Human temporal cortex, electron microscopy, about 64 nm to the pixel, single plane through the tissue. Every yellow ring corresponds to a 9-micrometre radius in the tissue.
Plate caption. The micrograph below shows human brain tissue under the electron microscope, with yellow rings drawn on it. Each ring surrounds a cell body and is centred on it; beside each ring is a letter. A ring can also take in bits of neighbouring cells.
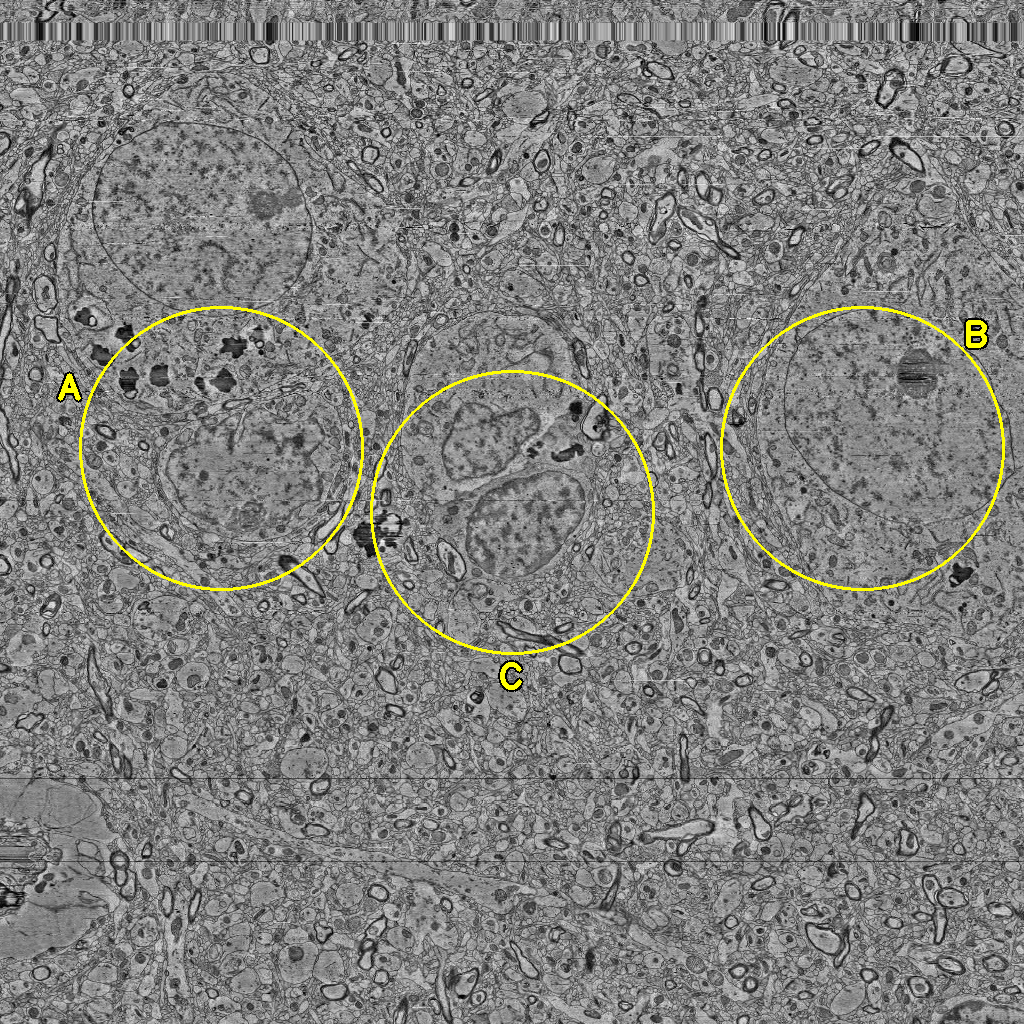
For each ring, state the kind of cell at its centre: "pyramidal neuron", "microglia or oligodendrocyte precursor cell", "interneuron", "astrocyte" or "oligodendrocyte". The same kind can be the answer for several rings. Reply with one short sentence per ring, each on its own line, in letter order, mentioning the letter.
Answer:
Ring A is drawn around an interneuron.
Ring B is drawn around a pyramidal neuron.
Ring C is drawn around an oligodendrocyte.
